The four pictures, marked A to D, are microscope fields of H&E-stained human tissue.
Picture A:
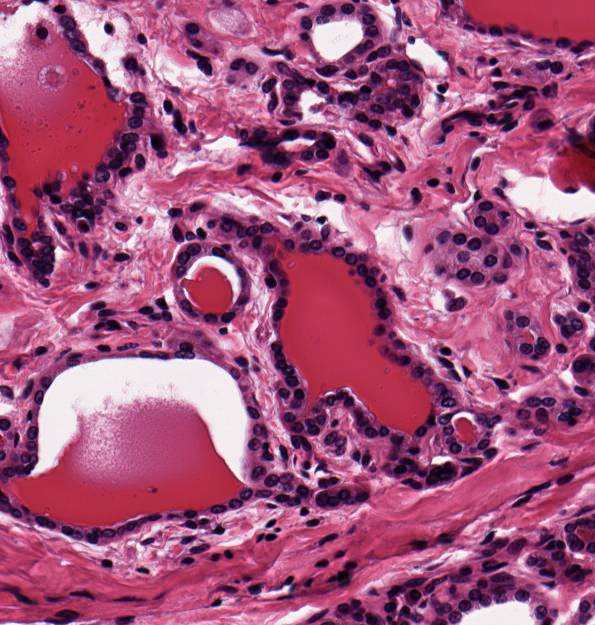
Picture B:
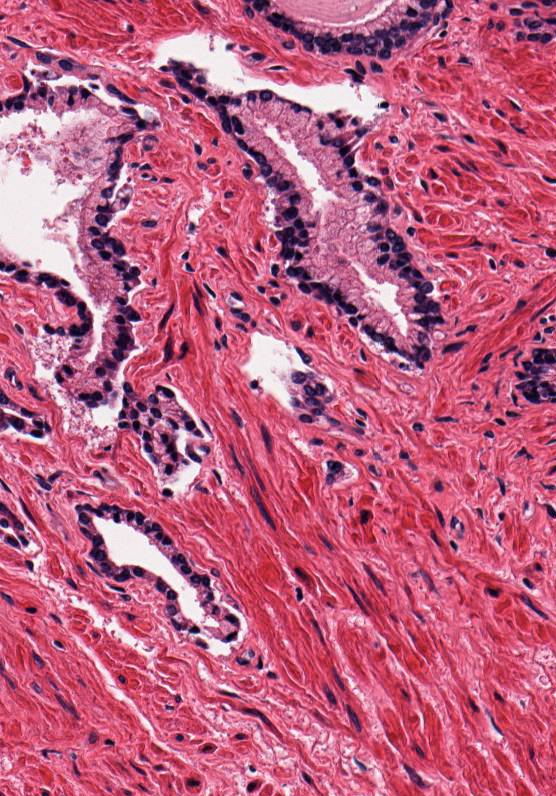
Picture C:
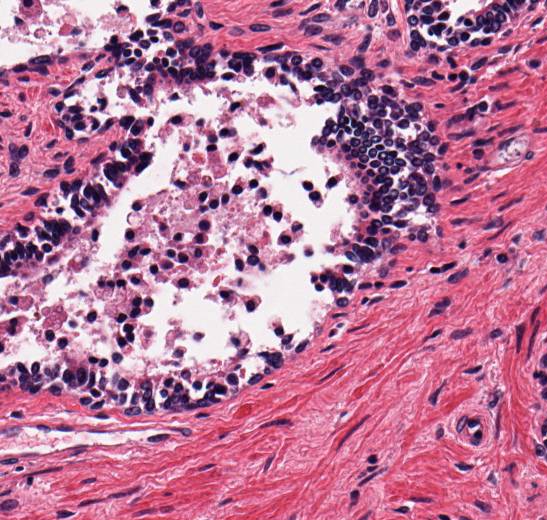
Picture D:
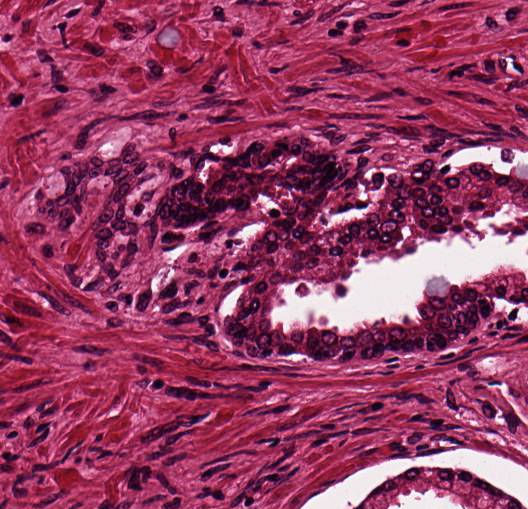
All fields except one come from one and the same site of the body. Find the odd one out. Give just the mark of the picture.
A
